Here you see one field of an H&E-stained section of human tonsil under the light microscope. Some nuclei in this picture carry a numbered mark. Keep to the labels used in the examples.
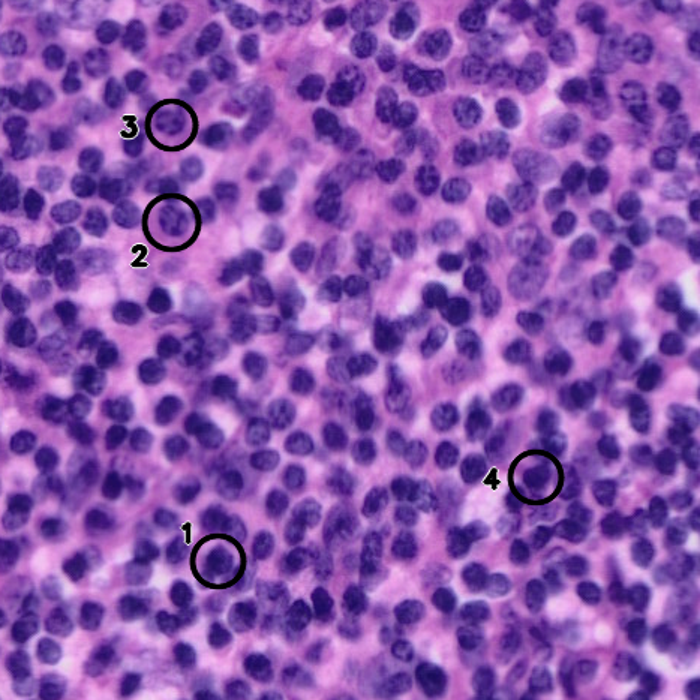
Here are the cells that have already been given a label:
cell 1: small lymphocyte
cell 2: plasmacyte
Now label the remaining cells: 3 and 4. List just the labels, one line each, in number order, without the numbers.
plasmacyte
small lymphocyte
